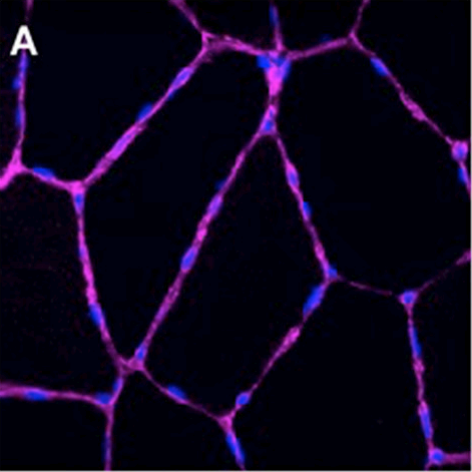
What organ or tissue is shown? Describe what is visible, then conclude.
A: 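Large polygonal profiles packed side by side, each outlined by a thin purple border. Elongated blue nuclei lie at the edges of the profiles, along the borders. The interiors of the profiles contain no nuclei. That points to this answer: skeletal muscle fibers.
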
